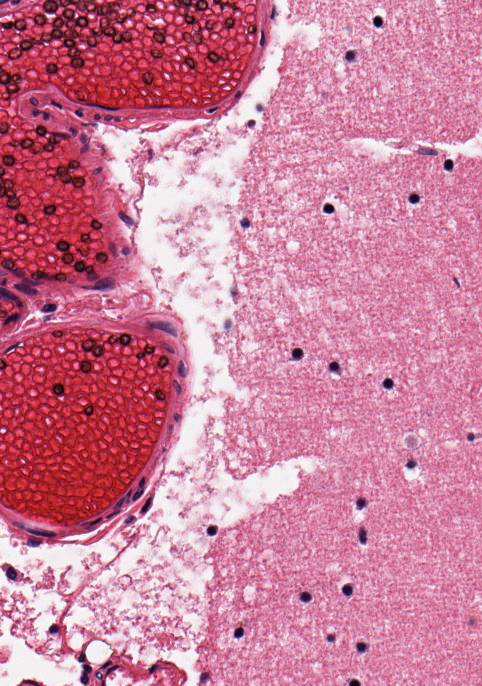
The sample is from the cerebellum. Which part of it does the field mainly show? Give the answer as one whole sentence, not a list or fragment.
The tissue part in this image has the name molecular layer.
